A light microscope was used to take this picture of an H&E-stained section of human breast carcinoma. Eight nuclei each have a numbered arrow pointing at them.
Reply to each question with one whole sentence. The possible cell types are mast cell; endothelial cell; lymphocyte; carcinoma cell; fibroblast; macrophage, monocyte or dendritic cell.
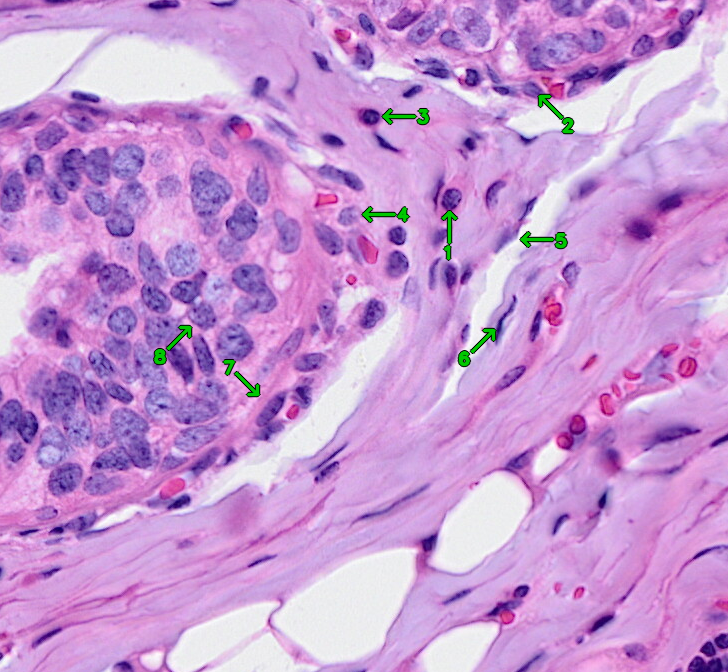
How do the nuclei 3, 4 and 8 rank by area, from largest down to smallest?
The nuclei rank 8, 4, 3, from largest to smallest.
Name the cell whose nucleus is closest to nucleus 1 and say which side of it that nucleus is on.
The closest nucleus belongs to a fibroblast and sits above and to the left of nucleus 1.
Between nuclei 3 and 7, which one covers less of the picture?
Nucleus 3 covers less area, with nucleus 7 about 2 times as large.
